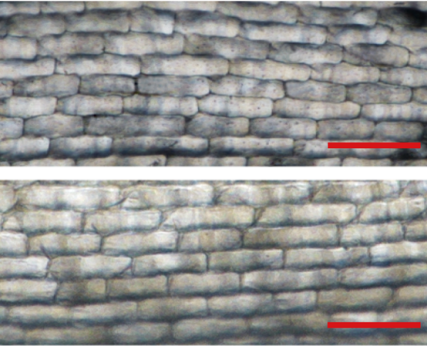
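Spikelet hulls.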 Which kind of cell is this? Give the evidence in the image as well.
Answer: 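The cells are elongated and rectangular. The cells lie in parallel longitudinal rows in a single surface layer. The ends of neighbouring rows are staggered like brickwork.
Hence: inner epidermal cells.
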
